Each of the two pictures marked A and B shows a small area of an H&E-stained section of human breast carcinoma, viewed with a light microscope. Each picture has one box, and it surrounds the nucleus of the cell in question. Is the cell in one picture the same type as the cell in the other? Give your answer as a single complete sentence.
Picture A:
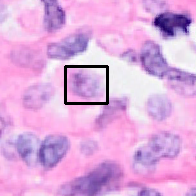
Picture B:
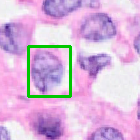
Yes; the cells in both pictures are carcinoma cells.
